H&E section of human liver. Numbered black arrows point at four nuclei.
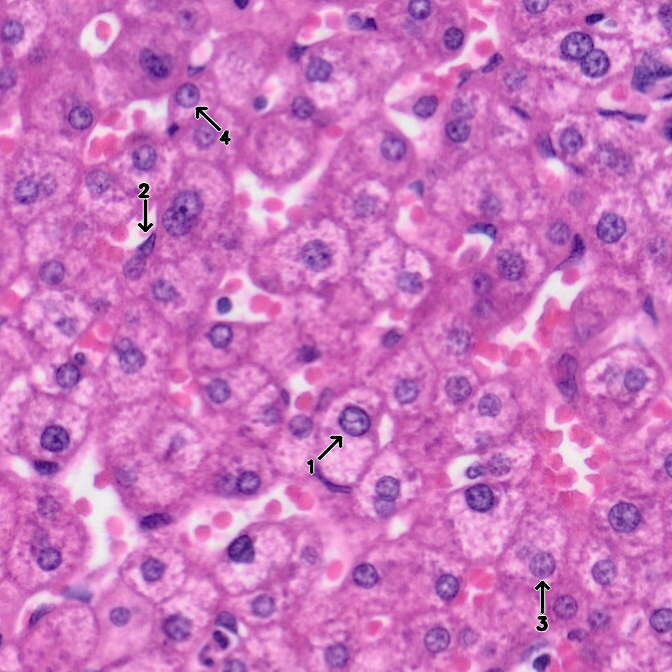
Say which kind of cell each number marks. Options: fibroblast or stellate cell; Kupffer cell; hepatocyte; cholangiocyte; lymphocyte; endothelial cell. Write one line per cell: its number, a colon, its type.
1: hepatocyte
2: endothelial cell
3: hepatocyte
4: hepatocyte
